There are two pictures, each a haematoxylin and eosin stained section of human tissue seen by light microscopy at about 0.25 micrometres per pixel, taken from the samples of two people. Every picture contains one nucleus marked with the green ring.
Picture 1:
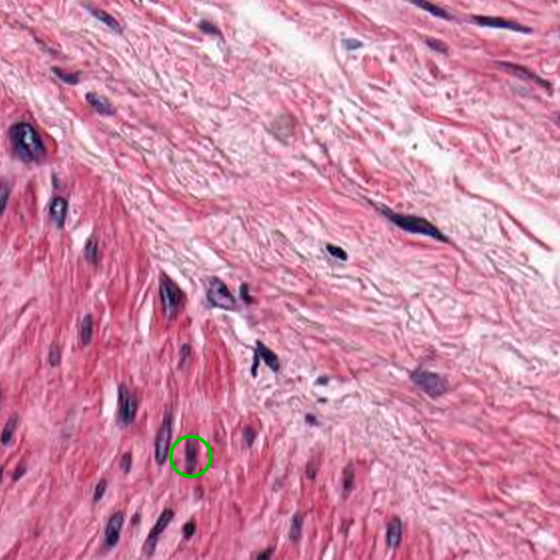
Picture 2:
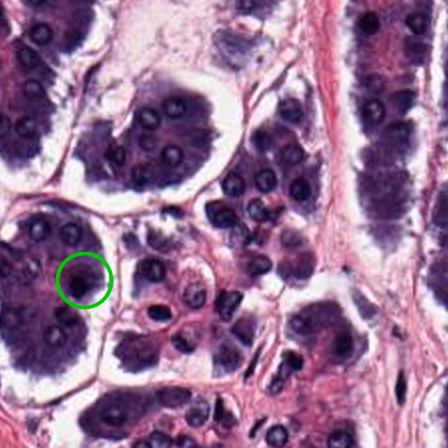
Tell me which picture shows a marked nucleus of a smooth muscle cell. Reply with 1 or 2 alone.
1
